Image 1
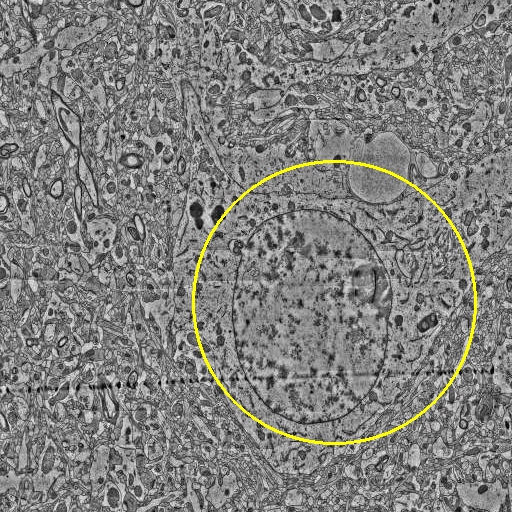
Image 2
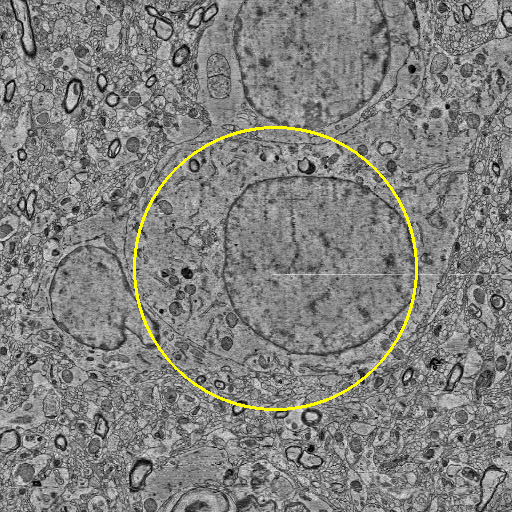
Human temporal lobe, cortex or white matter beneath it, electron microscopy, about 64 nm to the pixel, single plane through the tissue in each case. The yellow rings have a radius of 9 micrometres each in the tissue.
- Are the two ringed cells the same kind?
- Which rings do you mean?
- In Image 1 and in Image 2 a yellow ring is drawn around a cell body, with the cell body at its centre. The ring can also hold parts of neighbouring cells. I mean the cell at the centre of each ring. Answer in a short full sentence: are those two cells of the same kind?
Yes, both cells are of the same kind.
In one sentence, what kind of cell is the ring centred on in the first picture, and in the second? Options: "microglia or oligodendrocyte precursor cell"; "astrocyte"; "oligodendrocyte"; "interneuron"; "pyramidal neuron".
Each of the two rings surrounds a pyramidal neuron.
